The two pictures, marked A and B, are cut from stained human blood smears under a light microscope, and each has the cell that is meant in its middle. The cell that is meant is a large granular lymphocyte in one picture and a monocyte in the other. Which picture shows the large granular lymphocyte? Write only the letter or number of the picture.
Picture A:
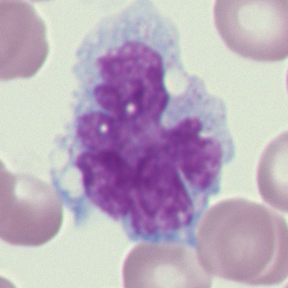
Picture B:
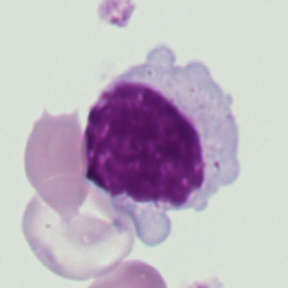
B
